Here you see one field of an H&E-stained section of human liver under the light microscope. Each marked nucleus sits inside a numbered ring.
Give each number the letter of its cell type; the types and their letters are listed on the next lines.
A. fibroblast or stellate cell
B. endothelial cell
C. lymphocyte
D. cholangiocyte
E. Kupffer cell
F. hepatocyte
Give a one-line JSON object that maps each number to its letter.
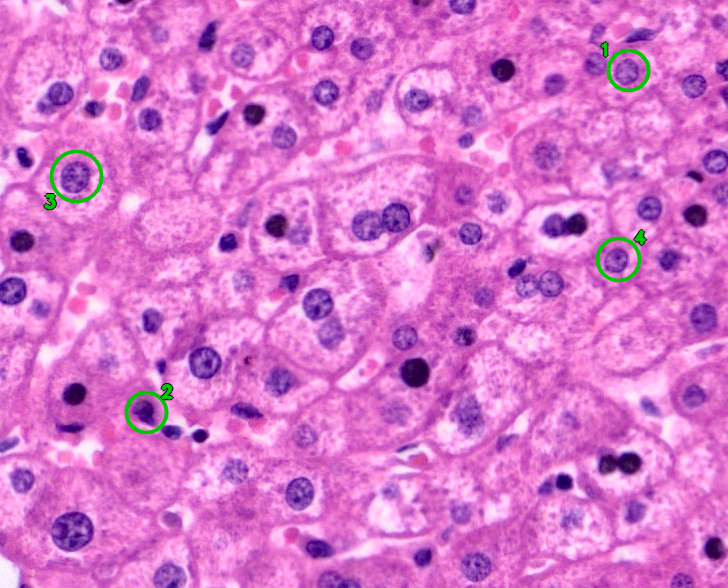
{"1": "F", "2": "E", "3": "F", "4": "F"}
